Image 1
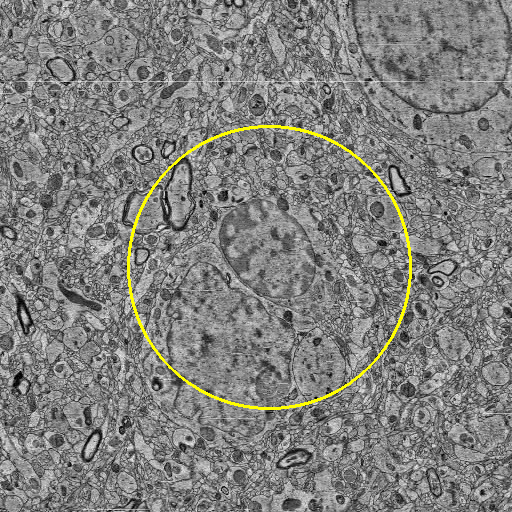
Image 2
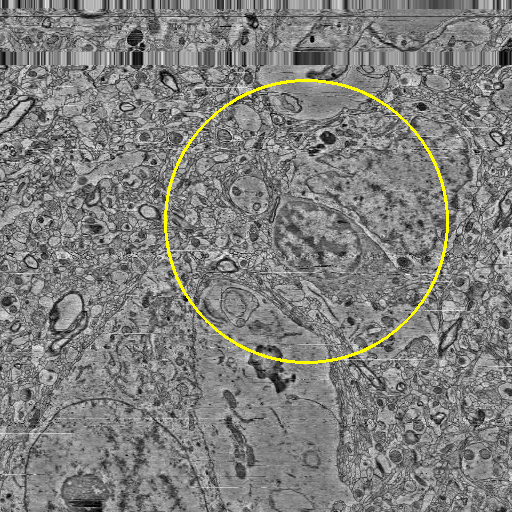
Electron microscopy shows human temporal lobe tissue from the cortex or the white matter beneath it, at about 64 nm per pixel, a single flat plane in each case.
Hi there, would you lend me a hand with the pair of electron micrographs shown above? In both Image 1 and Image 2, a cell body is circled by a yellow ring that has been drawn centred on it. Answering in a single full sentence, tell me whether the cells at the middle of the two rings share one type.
Yes, the ringed cells in Image 1 and Image 2 share one type.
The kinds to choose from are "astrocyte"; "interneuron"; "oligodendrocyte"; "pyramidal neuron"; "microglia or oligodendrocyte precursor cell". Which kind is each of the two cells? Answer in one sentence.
Both rings mark an oligodendrocyte, one in each picture.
